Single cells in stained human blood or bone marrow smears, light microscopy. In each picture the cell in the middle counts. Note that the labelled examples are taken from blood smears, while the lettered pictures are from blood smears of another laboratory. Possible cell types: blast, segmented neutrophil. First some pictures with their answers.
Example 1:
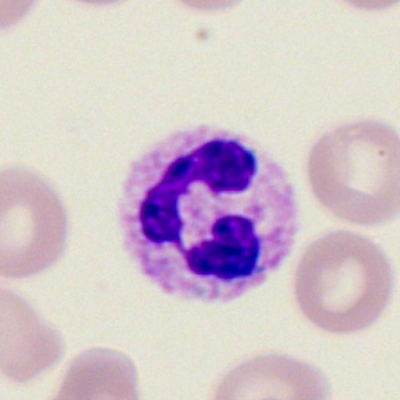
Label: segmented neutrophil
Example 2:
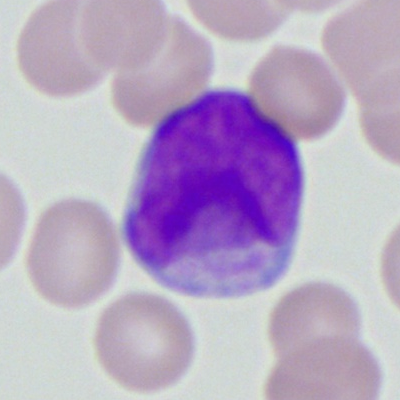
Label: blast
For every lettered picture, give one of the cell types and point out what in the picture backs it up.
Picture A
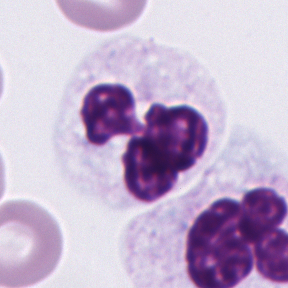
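segmented neutrophil: The nucleus is divided into lobes joined by narrow strands.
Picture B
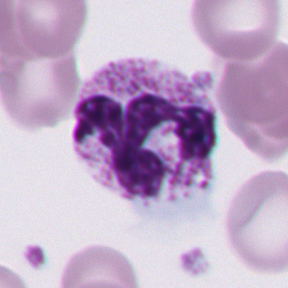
segmented neutrophil: The nucleus is divided into several lobes.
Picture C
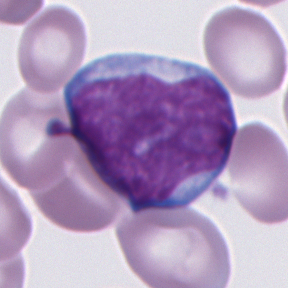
blast: The cytoplasm forms a narrow rim that is widest along the top edge of the cell.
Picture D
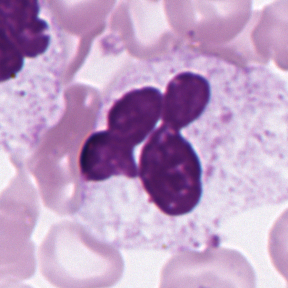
segmented neutrophil: The cytoplasm is plentiful and pale pinkish-lilac.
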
